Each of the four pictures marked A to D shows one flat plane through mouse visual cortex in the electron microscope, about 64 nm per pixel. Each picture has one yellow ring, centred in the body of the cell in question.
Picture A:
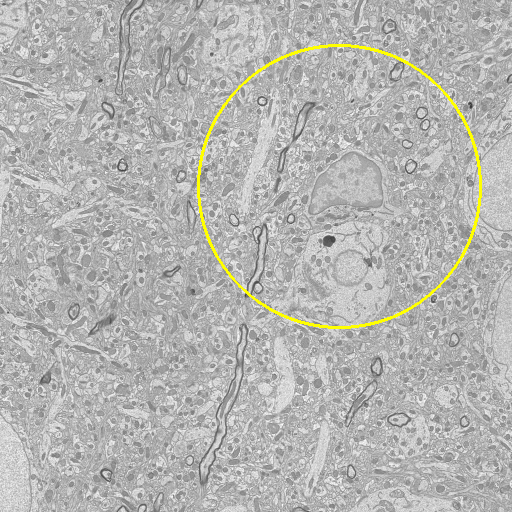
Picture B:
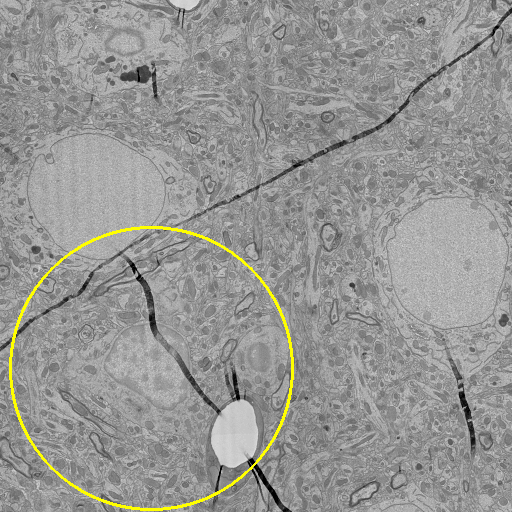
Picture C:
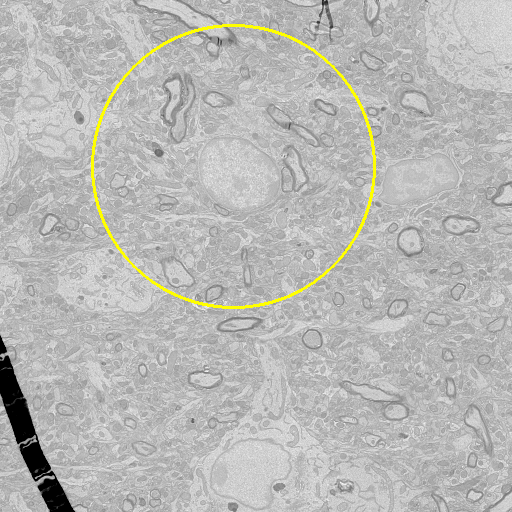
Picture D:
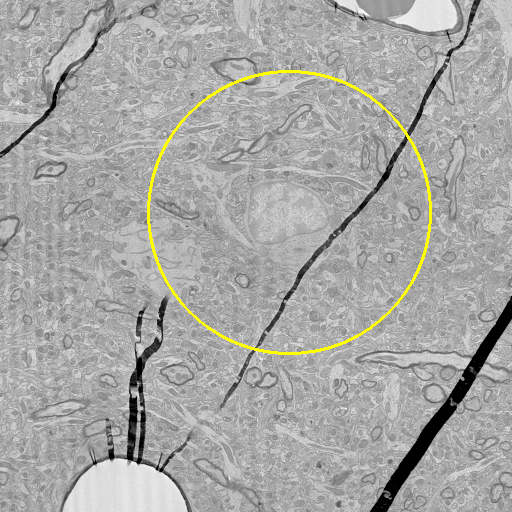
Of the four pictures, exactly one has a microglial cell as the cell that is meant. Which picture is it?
Picture A is the one that shows the microglial cell.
